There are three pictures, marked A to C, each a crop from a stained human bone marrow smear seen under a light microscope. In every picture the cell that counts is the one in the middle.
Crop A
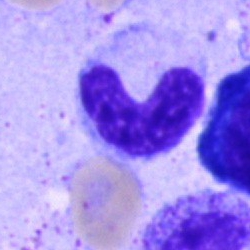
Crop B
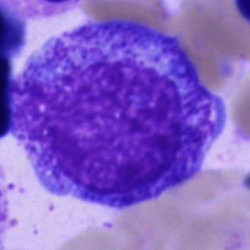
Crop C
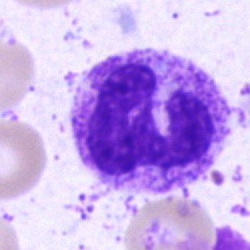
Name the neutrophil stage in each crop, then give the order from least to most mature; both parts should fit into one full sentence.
Taken from least to most mature, the sequence is crop B (a promyelocyte), crop A (a band neutrophil) and crop C (a segmented neutrophil).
